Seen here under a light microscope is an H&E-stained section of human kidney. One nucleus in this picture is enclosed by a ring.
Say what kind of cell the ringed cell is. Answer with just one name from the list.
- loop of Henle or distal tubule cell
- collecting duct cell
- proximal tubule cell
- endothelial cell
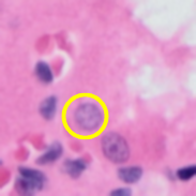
proximal tubule cell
